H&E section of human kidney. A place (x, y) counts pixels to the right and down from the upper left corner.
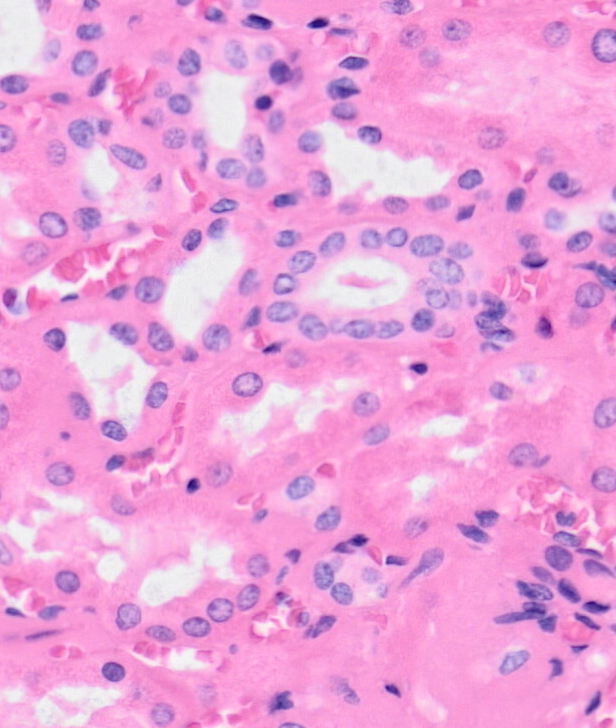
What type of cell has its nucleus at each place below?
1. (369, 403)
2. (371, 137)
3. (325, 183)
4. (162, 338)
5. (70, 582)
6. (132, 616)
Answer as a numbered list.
1. proximal tubule cell
2. loop of Henle or distal tubule cell
3. loop of Henle or distal tubule cell
4. loop of Henle or distal tubule cell
5. proximal tubule cell
6. proximal tubule cell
